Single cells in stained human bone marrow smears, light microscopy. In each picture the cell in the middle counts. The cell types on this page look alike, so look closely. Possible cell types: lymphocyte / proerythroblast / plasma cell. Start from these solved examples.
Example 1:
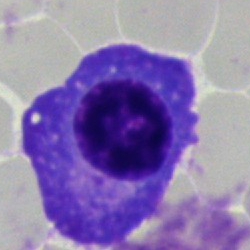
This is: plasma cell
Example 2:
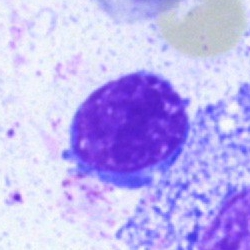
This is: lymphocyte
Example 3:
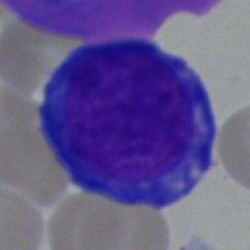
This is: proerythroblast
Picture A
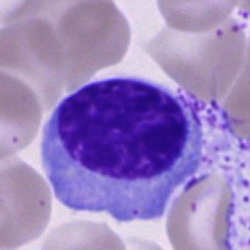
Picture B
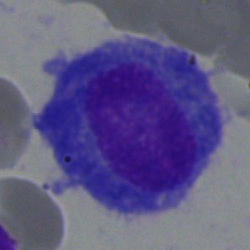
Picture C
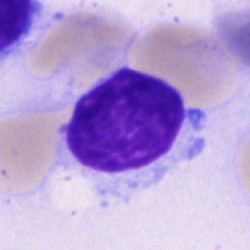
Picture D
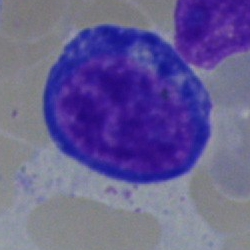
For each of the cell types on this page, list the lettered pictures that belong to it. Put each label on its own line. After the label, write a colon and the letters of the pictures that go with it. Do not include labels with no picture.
lymphocyte: C
proerythroblast: D
plasma cell: A, B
